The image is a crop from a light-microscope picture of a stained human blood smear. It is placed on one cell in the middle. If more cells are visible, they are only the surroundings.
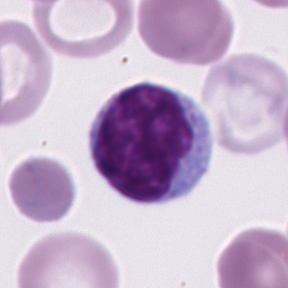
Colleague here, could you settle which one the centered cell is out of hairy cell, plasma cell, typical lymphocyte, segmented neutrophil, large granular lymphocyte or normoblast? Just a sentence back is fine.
Centrally within this crop lies a typical lymphocyte.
